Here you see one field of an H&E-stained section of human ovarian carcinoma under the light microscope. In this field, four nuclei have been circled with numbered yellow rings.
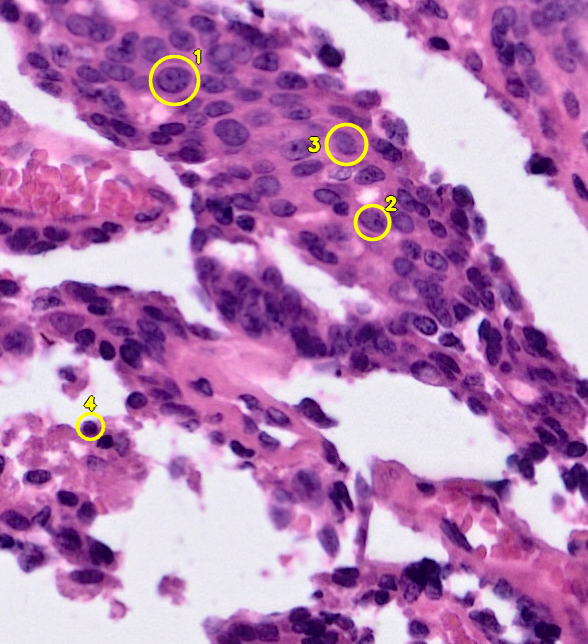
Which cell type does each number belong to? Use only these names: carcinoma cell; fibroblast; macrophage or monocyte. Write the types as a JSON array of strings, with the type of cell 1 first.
["carcinoma cell", "carcinoma cell", "carcinoma cell", "macrophage or monocyte"]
